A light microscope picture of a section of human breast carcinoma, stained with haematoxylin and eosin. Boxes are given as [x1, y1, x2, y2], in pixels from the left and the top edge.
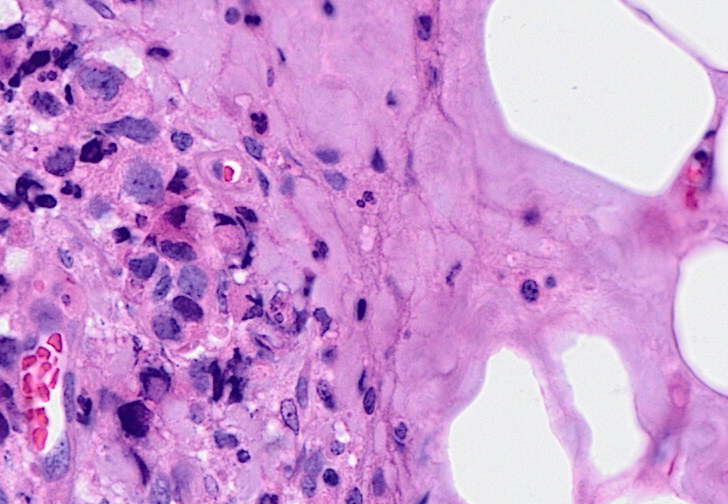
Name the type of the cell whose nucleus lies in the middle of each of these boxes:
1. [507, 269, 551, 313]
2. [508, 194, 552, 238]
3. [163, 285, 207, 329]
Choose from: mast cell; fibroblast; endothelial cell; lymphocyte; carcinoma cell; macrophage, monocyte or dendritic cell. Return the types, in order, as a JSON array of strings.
["mast cell", "mast cell", "carcinoma cell"]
